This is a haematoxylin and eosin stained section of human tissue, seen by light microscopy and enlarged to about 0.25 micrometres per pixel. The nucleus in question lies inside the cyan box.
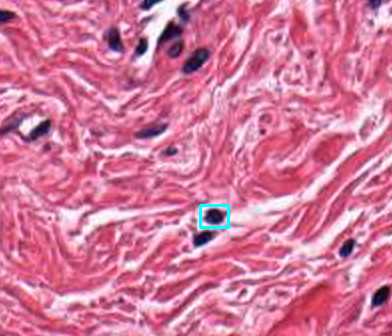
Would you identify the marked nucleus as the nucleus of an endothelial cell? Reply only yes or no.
no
